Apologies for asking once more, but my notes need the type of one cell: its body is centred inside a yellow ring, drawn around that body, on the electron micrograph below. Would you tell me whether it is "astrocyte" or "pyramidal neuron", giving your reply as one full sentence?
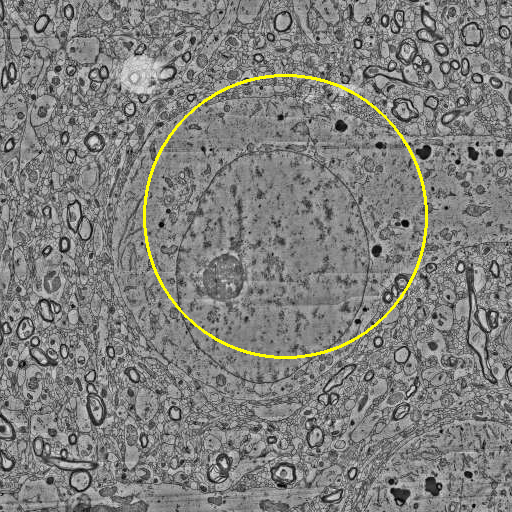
The cell that the yellow ring is centred on is a pyramidal neuron in this micrograph.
